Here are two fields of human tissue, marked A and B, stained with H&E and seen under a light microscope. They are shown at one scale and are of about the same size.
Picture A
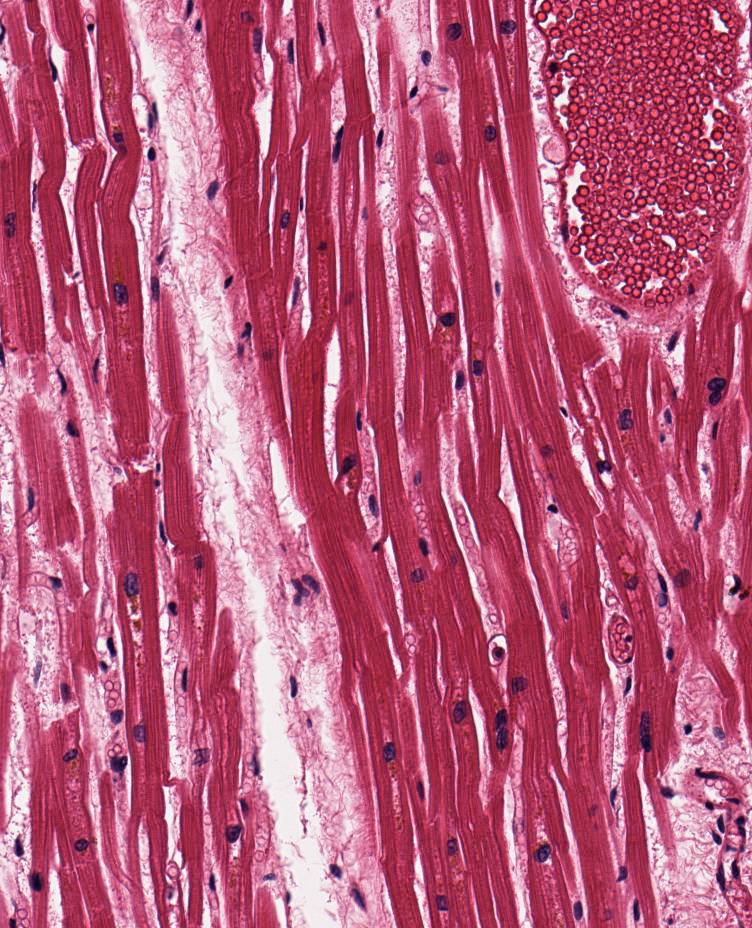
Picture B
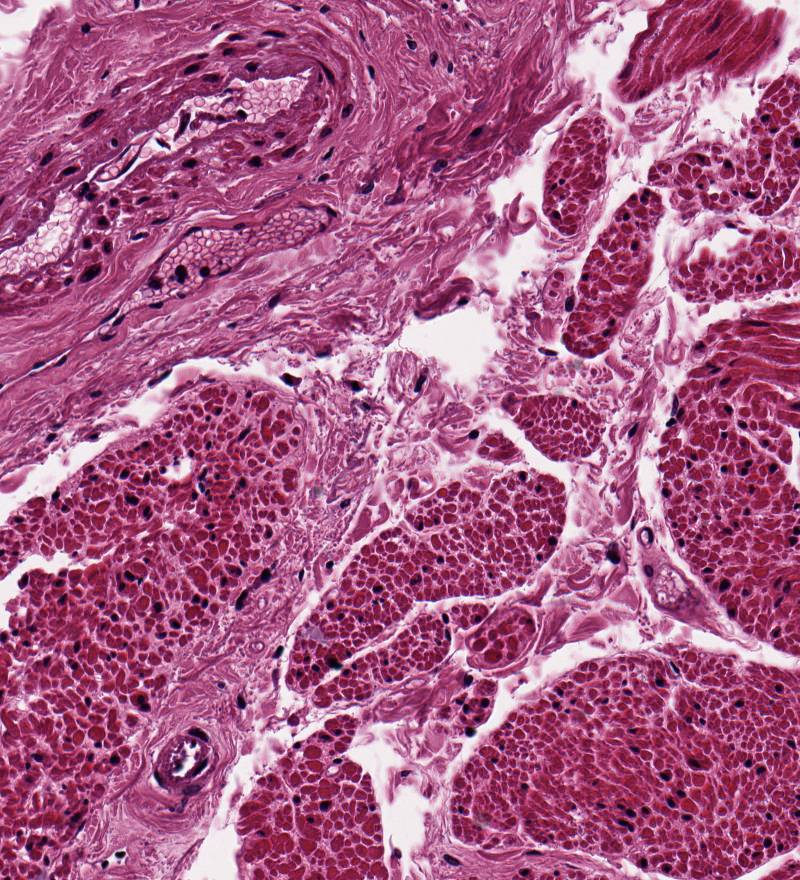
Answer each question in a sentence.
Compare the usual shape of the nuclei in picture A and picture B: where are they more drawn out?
On the whole the nuclei of picture A are more drawn out than those of picture B.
